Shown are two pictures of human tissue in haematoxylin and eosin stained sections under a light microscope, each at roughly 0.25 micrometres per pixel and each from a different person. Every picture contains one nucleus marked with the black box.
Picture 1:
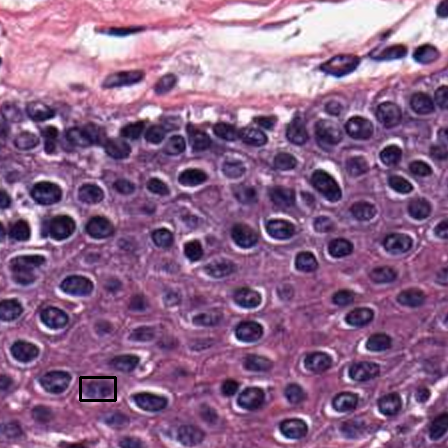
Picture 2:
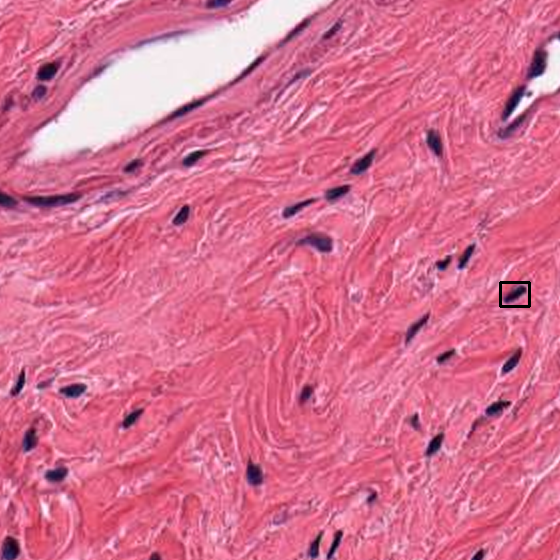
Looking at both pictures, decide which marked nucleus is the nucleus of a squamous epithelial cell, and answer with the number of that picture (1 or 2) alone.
1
